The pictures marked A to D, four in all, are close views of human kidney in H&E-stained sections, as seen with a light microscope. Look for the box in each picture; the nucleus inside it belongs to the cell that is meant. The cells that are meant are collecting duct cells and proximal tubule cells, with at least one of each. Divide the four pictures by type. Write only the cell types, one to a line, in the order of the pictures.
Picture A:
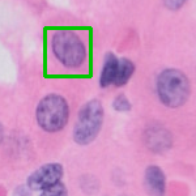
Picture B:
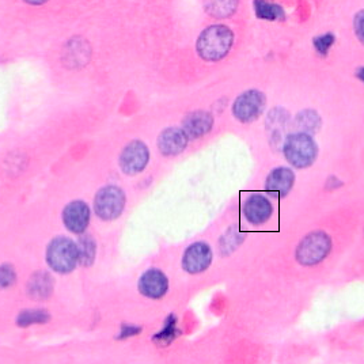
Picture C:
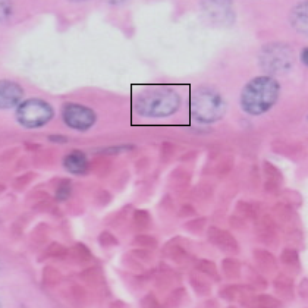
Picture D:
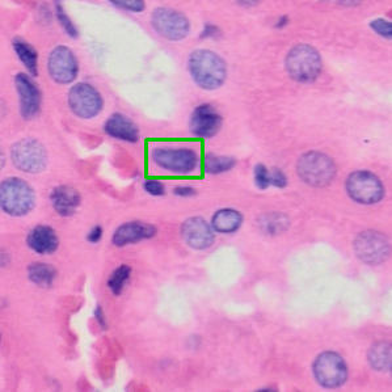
proximal tubule cell
collecting duct cell
collecting duct cell
collecting duct cell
